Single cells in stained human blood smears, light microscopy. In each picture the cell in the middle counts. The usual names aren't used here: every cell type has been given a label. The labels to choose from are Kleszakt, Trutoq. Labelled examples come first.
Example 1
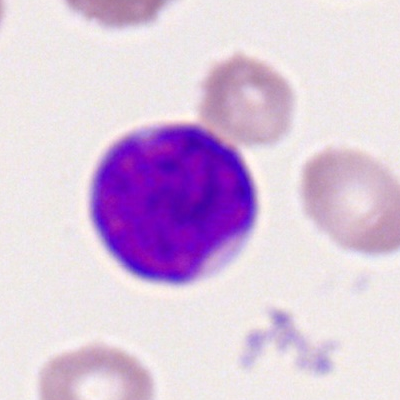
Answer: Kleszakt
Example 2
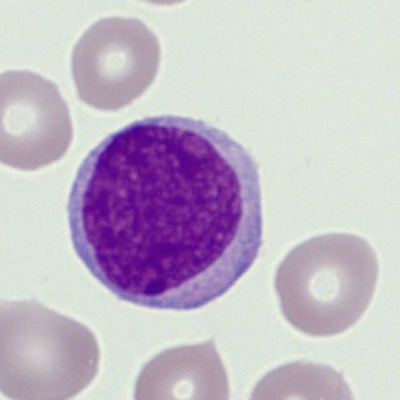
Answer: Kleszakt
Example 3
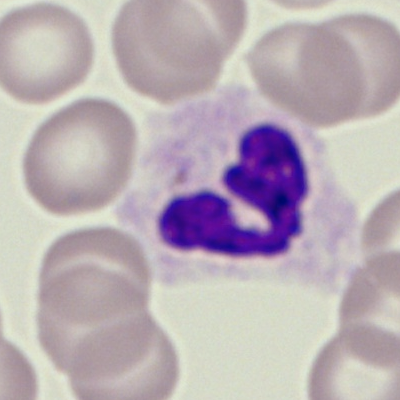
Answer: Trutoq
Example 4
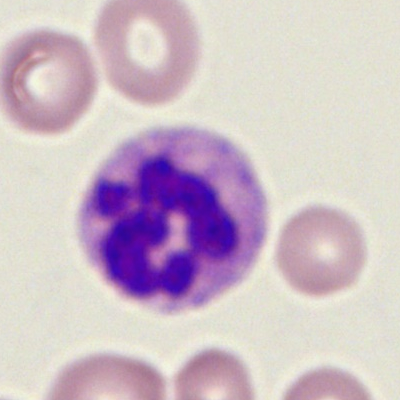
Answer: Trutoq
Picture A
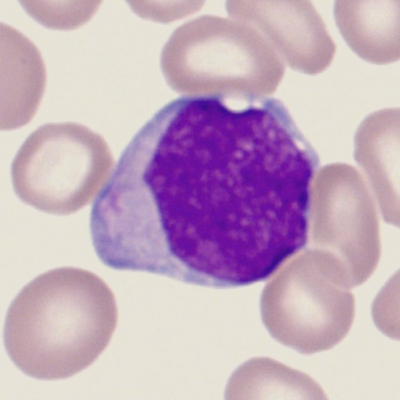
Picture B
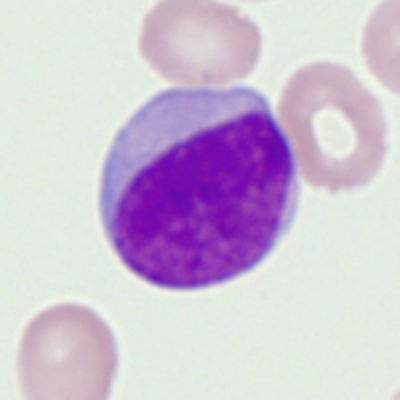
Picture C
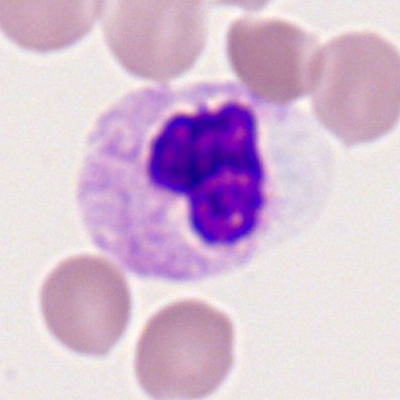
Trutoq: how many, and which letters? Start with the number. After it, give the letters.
Count: 1 (C)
